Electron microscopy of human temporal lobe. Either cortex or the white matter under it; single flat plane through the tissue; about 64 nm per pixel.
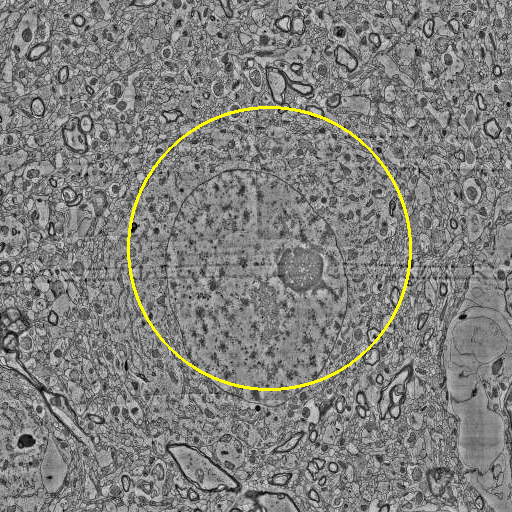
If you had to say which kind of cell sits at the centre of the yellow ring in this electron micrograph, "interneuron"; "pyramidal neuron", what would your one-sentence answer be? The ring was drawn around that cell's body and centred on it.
The cell sitting at the centre of the ring is a pyramidal neuron.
